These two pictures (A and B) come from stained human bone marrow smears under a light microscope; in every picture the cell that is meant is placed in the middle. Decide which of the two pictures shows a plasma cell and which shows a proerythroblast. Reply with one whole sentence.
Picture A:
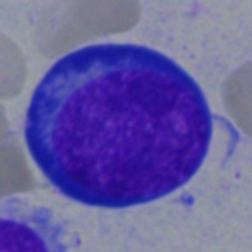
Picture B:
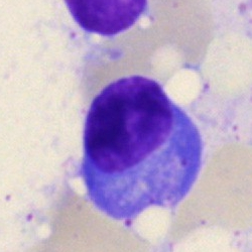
Picture A is of a proerythroblast, and picture B is of a plasma cell.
